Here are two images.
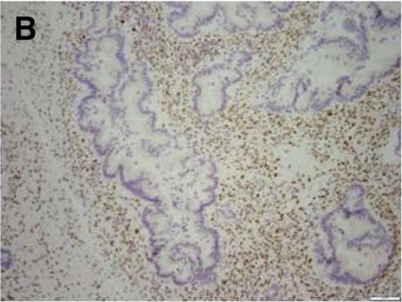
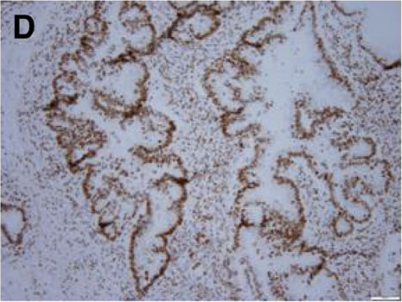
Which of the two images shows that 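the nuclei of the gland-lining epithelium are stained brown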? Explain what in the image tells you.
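Second image: the gland epithelium nuclei are strongly brown, outlining the glands. First image: the gland epithelium is blue and unstained while stromal nuclei are brown. On this evidence: the second image.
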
